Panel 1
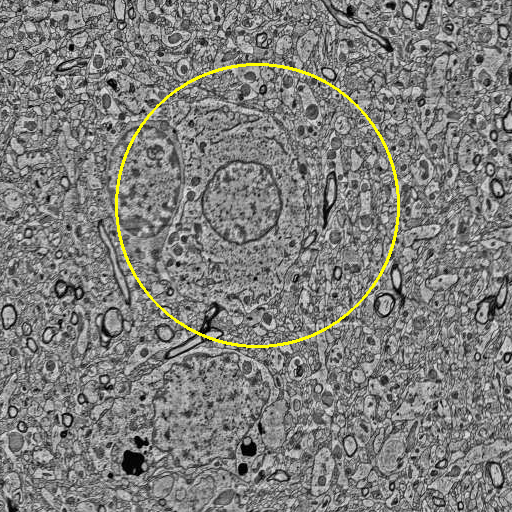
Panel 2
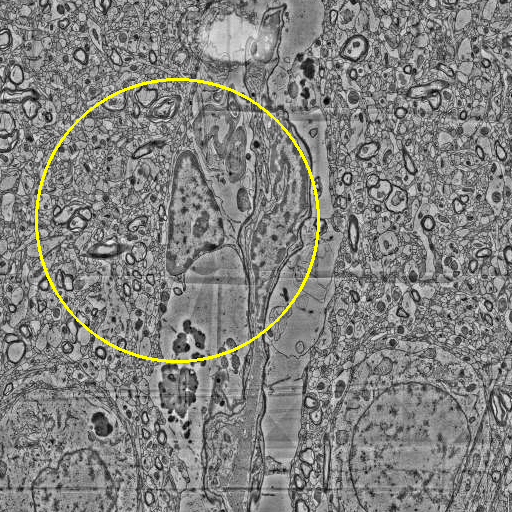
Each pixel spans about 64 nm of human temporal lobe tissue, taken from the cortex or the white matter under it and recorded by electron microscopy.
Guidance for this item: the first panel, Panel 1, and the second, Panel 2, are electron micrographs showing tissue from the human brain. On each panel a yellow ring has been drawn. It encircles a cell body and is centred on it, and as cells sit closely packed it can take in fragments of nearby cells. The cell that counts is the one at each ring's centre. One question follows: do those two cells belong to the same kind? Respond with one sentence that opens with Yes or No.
No, the cells at the ring centres in Panel 1 and Panel 2 are of two kinds.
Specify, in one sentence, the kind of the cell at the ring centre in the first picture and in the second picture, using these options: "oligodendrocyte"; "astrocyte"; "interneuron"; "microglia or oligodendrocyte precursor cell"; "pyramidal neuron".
So the first is a pyramidal neuron, the second a microglial cell or oligodendrocyte precursor cell.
